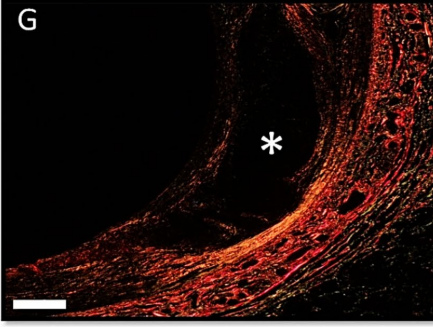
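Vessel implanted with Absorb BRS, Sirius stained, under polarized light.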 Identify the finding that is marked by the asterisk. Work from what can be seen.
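The marked region is dark, without bright birefringence. Surrounding wall glows orange-red and yellow.
Hence: lack of collagen.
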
